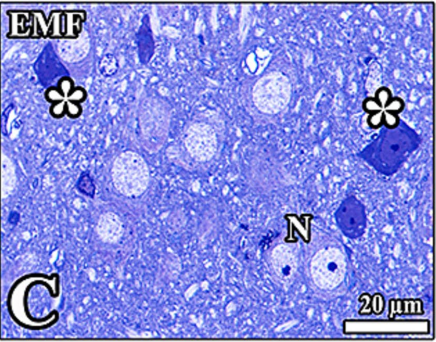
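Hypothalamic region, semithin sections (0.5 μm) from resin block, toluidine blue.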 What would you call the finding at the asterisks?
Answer: Degenerated cells.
